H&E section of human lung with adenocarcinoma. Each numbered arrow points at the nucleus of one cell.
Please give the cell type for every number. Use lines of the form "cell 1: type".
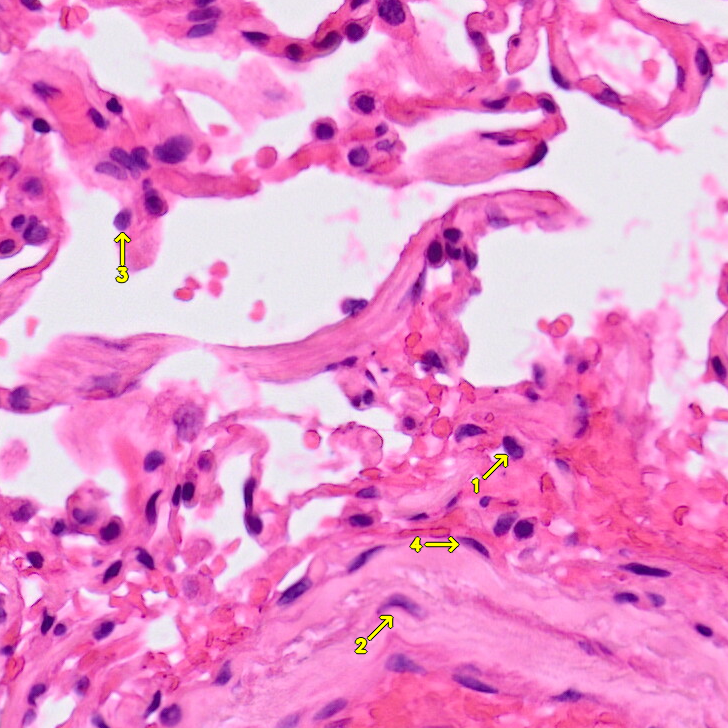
cell 1: type I pneumocyte
cell 2: smooth muscle cell or pericyte
cell 3: type I pneumocyte
cell 4: endothelial cell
